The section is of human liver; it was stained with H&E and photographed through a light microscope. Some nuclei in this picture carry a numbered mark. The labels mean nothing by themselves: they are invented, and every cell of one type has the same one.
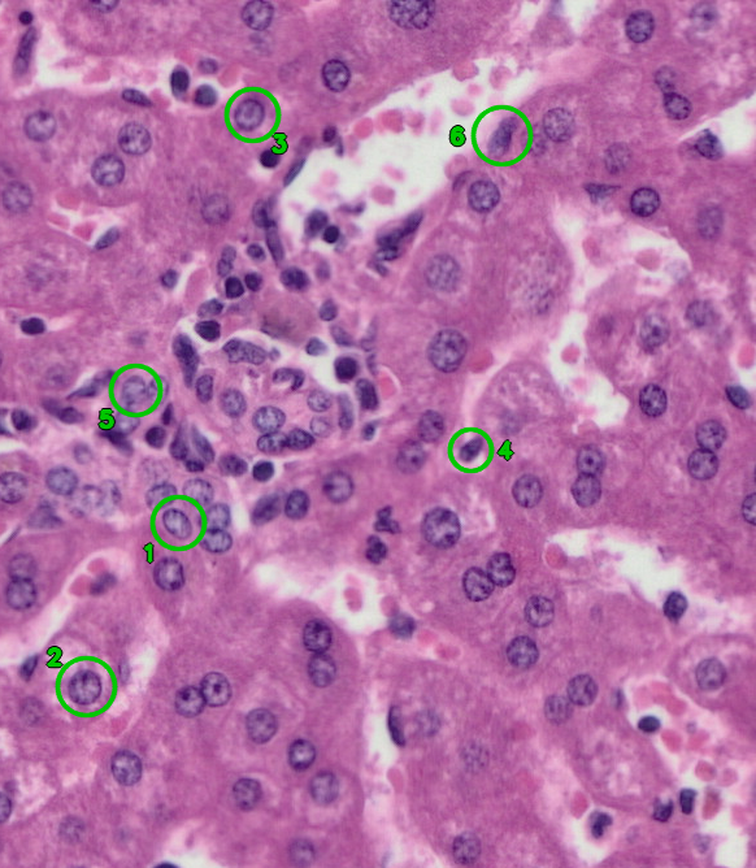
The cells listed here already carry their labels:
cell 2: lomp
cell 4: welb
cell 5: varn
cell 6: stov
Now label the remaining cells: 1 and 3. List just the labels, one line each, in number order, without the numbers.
varn
lomp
